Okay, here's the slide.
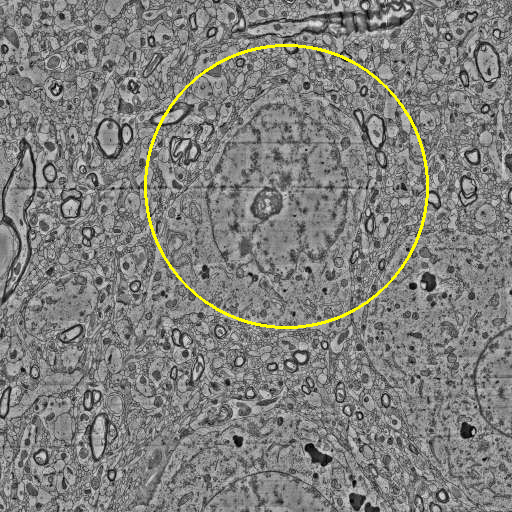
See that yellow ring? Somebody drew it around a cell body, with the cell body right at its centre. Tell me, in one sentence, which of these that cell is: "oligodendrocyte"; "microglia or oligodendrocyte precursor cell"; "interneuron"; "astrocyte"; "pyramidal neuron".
The cell in the middle of the ring is an interneuron.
